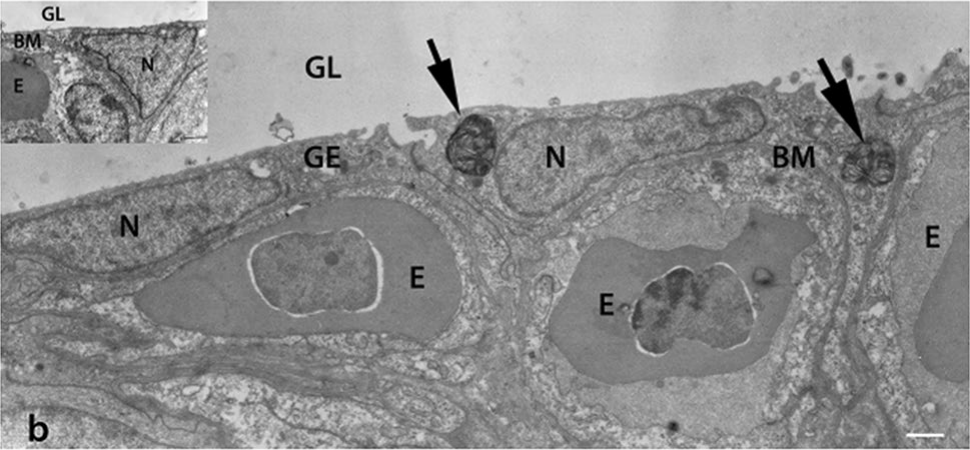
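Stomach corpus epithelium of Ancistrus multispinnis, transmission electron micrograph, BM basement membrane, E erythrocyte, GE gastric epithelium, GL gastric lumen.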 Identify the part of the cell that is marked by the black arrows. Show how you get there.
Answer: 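The arrows point to small round dark bodies inside the epithelial cells. The bodies show concentric membrane-like layers. They lie close to the surface facing the lumen. On this evidence: lamellar bodies.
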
